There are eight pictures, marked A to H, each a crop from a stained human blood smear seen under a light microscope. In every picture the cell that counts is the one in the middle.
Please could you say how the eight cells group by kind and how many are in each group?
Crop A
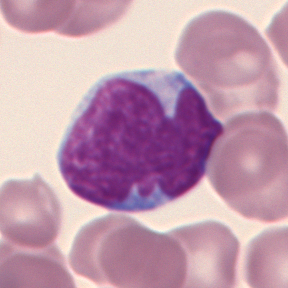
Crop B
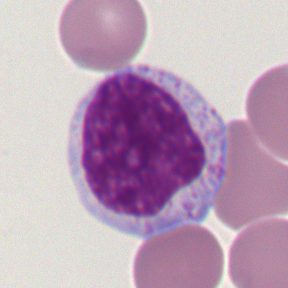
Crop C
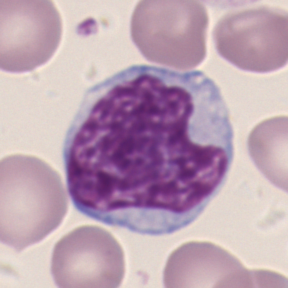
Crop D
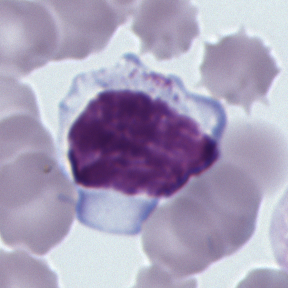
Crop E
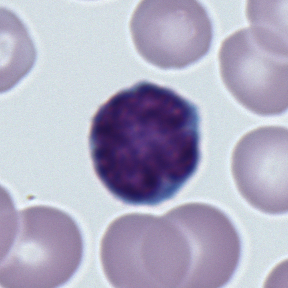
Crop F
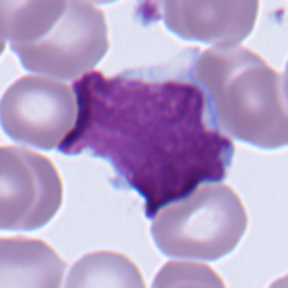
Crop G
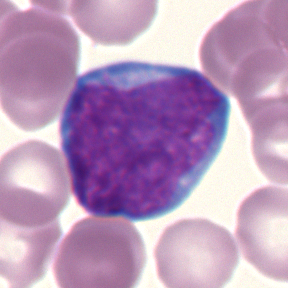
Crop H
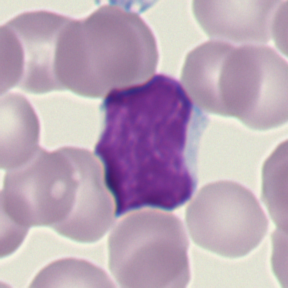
myeloblast: 3
typical lymphocyte: 3
large granular lymphocyte: 2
